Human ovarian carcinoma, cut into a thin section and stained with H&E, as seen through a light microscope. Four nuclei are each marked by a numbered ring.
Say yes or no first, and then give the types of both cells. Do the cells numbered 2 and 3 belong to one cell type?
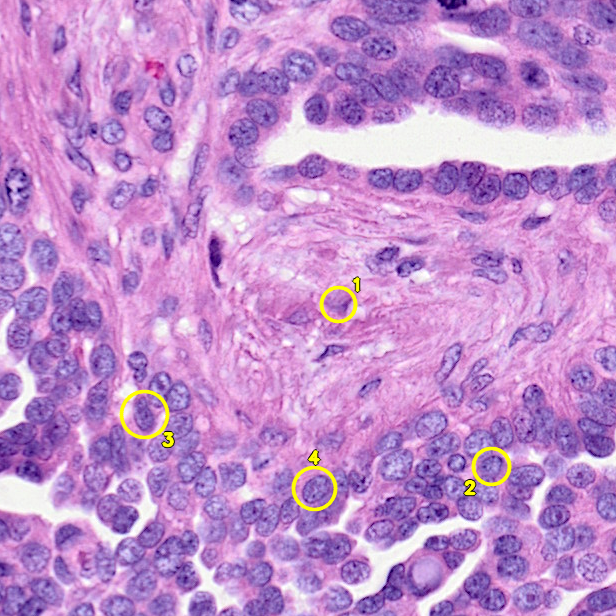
Yes, both are carcinoma cells.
